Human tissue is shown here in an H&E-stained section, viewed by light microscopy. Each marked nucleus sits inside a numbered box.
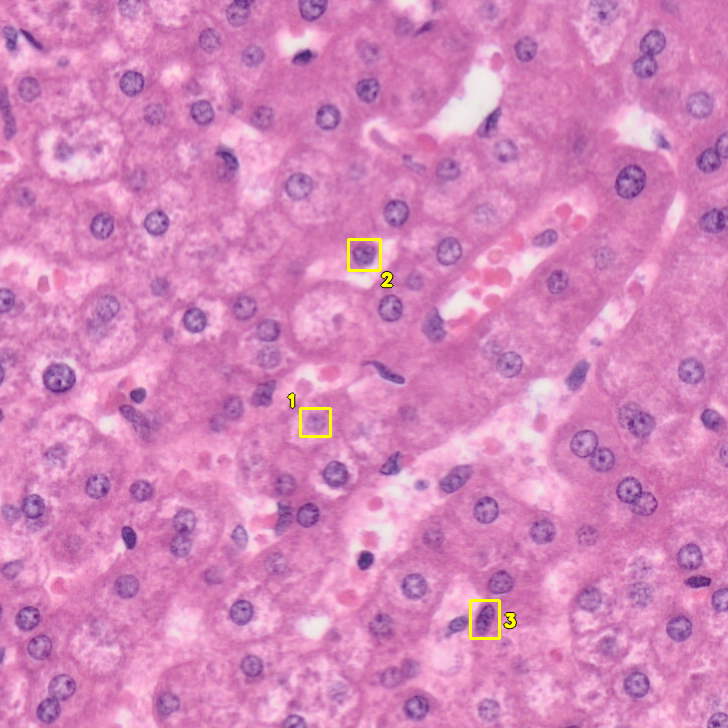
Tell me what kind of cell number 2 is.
Kupffer cell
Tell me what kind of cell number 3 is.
fibroblast or stellate cell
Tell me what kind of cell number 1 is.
hepatocyte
